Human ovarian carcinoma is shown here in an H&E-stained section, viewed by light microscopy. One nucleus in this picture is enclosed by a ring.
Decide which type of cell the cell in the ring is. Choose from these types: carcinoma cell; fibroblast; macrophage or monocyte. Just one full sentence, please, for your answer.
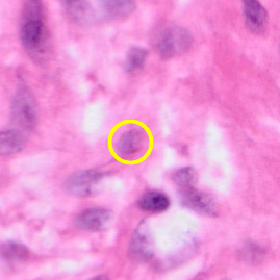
In this field of tissue, the cell in the ring is a fibroblast.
